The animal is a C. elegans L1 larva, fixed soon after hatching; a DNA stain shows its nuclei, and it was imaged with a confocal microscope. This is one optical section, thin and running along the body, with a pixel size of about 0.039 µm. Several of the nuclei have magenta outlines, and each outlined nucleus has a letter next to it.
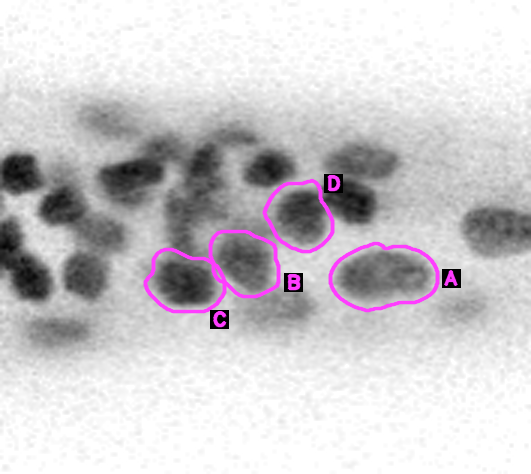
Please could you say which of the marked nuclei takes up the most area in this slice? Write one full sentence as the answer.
The largest cut area is that of A.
